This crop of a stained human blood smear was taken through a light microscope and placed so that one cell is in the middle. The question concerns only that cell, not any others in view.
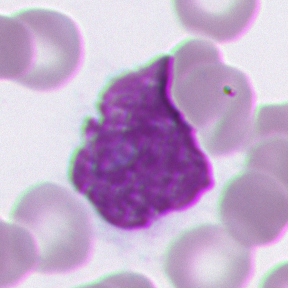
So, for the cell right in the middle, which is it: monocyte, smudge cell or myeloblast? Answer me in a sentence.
The cell around which this crop is centred is a smudge cell.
